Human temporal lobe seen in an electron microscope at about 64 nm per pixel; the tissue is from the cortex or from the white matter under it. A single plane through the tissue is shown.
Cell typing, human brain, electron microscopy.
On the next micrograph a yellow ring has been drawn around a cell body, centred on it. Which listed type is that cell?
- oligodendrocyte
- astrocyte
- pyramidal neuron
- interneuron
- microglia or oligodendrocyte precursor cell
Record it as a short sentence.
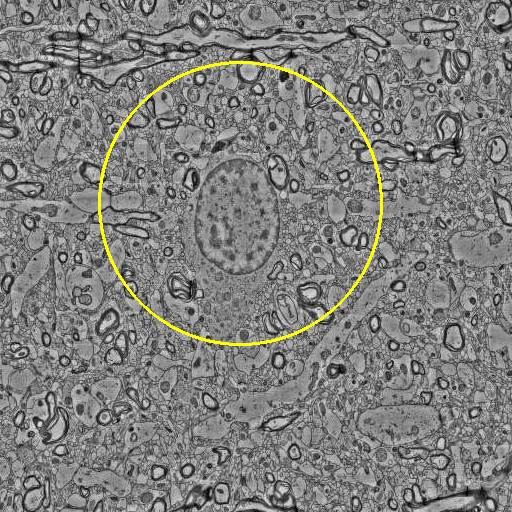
The cell body in the ring's centre belongs to an oligodendrocyte.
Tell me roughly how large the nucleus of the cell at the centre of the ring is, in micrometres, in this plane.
In this plane the nucleus is about 7 micrometres by 5.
